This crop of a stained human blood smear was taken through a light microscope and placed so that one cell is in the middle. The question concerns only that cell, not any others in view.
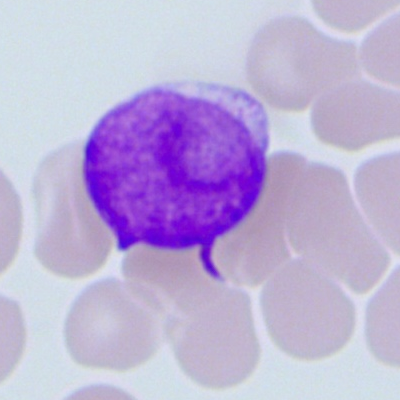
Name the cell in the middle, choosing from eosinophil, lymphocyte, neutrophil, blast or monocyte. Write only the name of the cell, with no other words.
blast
